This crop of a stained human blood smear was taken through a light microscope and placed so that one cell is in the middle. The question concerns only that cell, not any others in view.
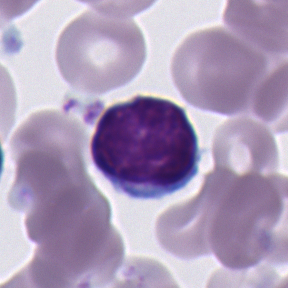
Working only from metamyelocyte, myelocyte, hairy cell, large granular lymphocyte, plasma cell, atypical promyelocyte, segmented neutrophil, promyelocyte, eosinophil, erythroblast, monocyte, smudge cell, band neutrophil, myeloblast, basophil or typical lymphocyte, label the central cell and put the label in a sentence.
The cell occupying the middle of the crop is a typical lymphocyte.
